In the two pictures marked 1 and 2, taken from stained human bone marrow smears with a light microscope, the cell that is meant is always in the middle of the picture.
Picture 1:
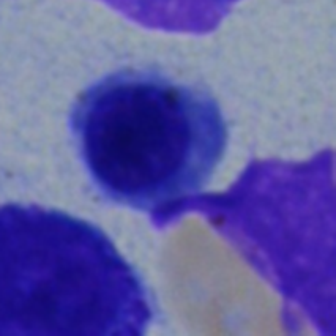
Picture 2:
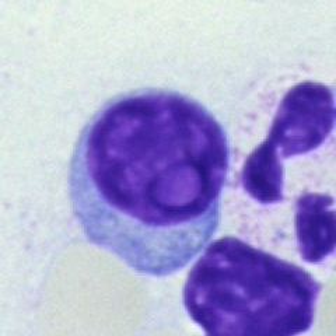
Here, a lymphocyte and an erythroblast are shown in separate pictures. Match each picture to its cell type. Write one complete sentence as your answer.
Picture 1 shows an erythroblast and picture 2 shows a lymphocyte.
